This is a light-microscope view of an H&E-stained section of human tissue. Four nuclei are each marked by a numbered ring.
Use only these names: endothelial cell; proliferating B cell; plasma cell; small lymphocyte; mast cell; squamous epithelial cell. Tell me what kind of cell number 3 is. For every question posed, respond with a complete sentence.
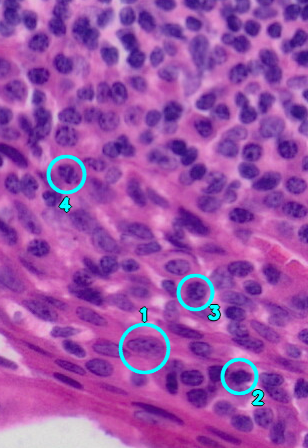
The cell that carries the label 3 is a plasma cell.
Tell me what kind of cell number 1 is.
Numbered cell 1 is a squamous epithelial cell in this tissue section.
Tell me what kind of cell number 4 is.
Of the numbered cells, the one labelled 4 is a plasma cell.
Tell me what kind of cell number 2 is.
The cell marked with number 2 is a plasma cell.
